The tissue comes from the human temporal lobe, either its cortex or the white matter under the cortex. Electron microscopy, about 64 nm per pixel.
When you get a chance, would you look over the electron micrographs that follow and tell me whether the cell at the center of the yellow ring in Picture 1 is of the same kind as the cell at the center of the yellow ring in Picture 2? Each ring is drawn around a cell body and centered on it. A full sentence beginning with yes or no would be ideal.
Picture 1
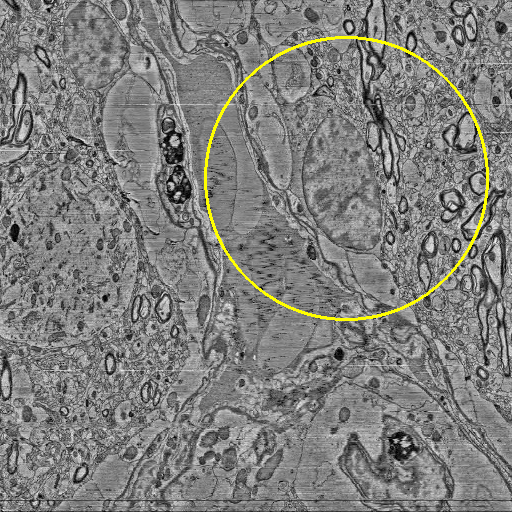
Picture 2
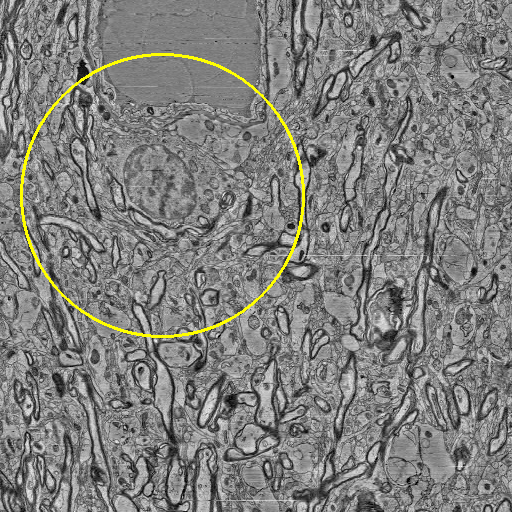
Yes, the two cells are of the same kind.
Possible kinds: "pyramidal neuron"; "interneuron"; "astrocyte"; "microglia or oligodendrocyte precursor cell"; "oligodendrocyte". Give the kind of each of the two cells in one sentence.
Both cells are the same kind, each one being an oligodendrocyte.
